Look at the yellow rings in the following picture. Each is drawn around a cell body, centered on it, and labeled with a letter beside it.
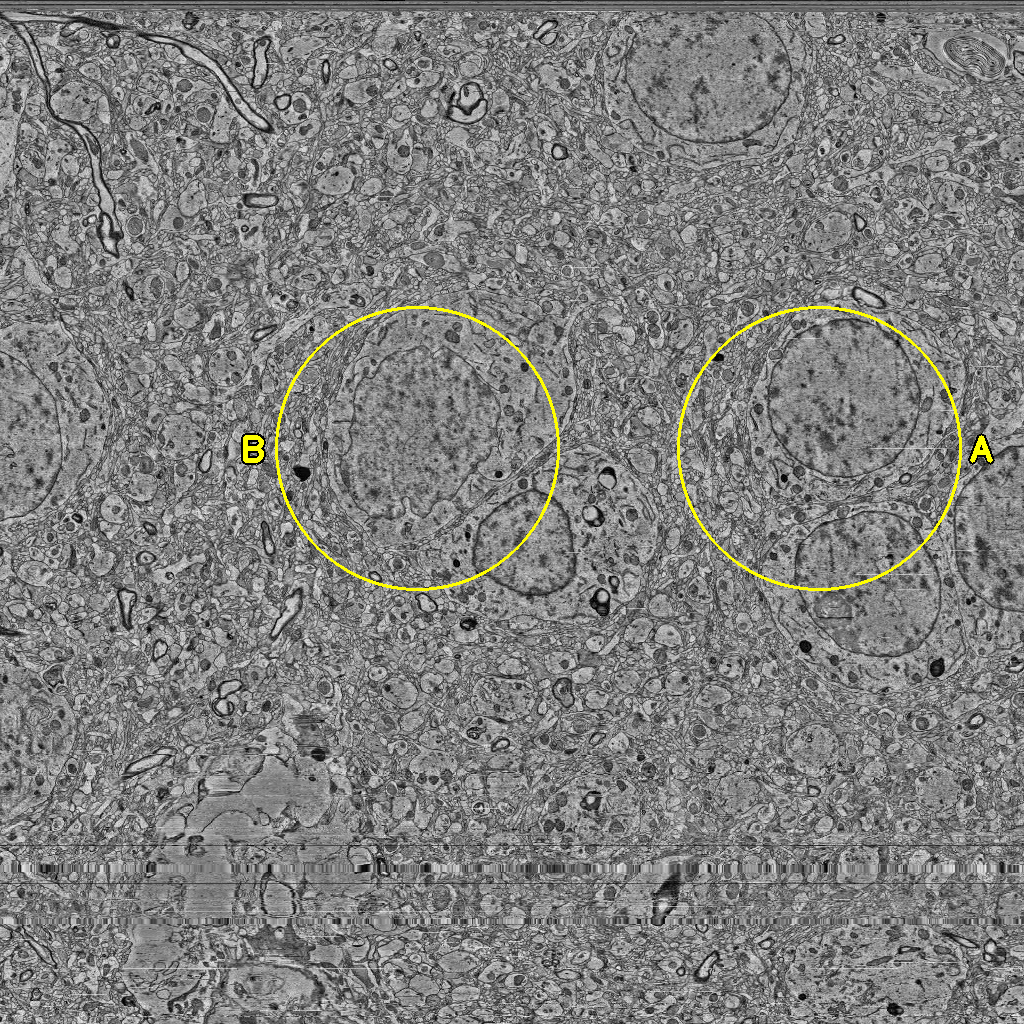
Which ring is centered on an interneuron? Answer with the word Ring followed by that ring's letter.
Ring B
